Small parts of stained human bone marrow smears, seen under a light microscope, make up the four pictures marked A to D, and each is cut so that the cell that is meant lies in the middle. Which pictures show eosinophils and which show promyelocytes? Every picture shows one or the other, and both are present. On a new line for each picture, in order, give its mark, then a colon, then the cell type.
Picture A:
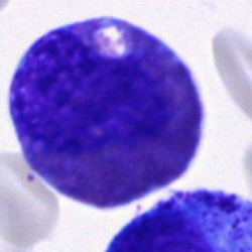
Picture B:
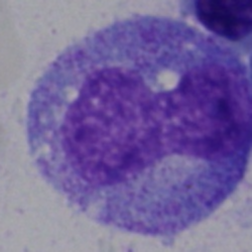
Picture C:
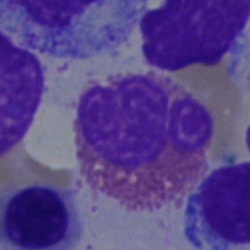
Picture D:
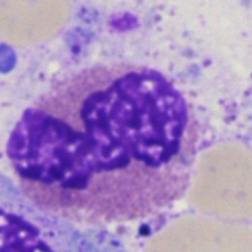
A: eosinophil
B: promyelocyte
C: eosinophil
D: eosinophil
